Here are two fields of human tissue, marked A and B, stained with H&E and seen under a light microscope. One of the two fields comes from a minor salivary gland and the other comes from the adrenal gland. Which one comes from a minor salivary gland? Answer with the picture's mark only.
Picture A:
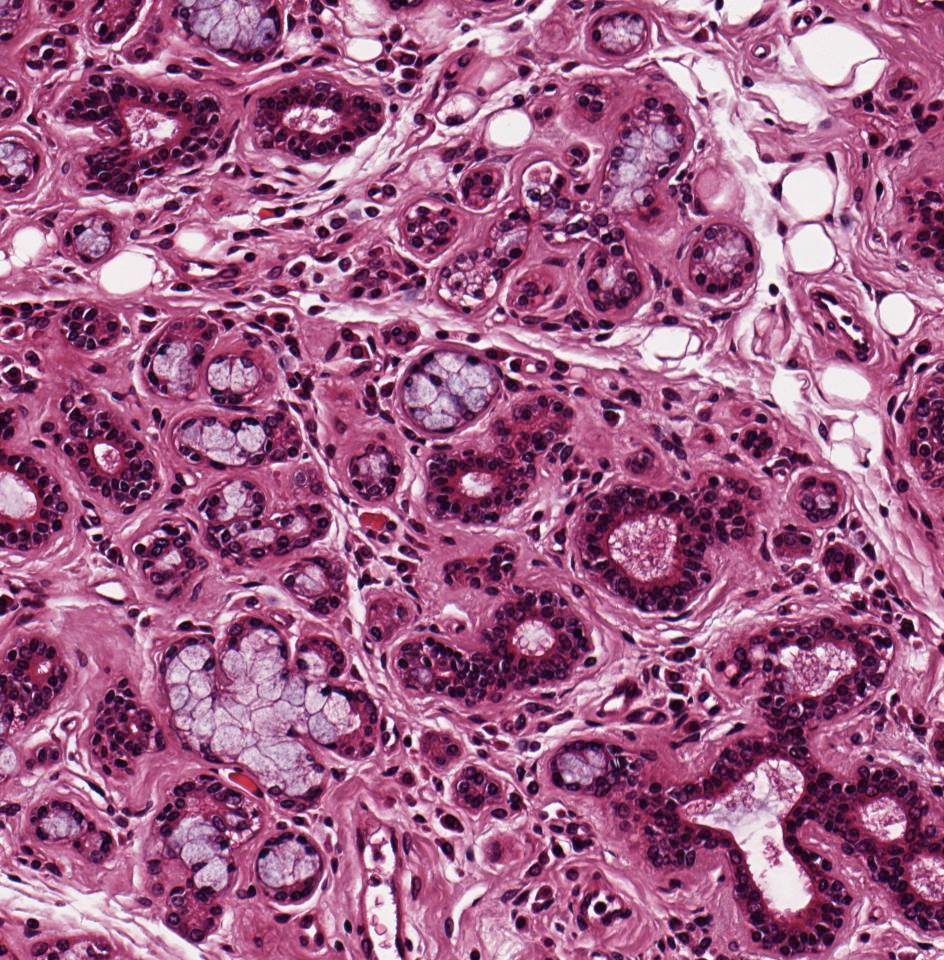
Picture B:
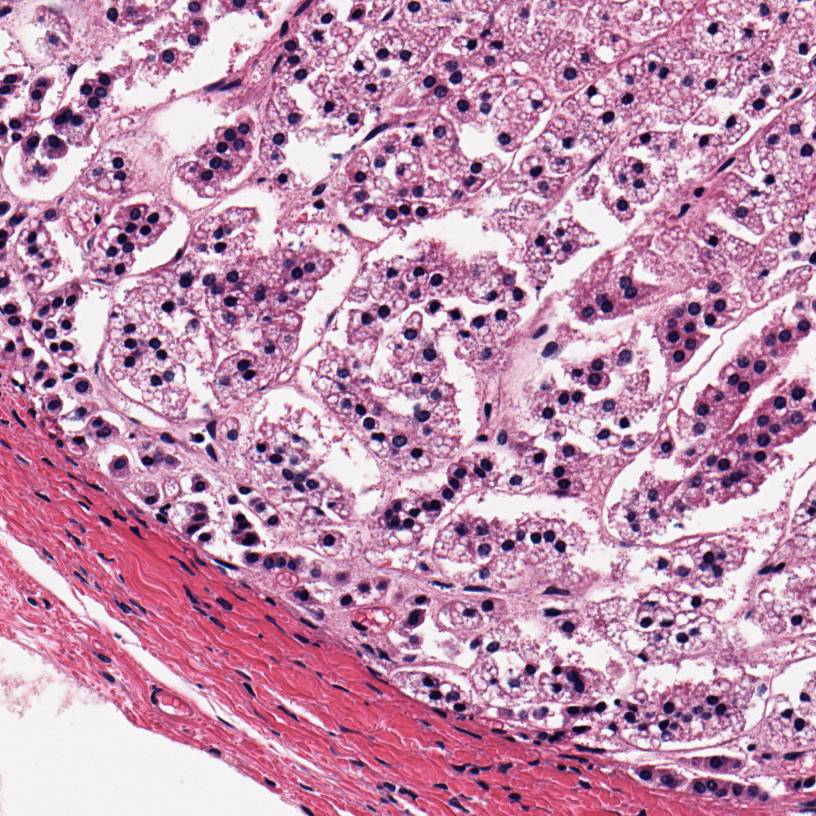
A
